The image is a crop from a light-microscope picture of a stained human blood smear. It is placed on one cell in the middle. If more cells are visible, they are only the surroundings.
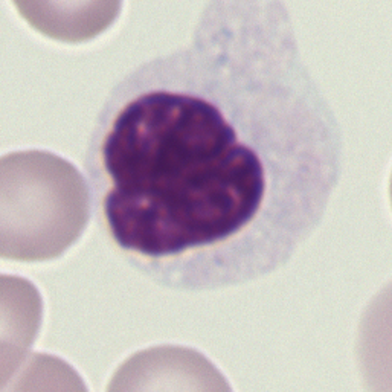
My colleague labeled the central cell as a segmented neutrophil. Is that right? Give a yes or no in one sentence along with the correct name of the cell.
Yes, a segmented neutrophil is the cell positioned in the middle of the field.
